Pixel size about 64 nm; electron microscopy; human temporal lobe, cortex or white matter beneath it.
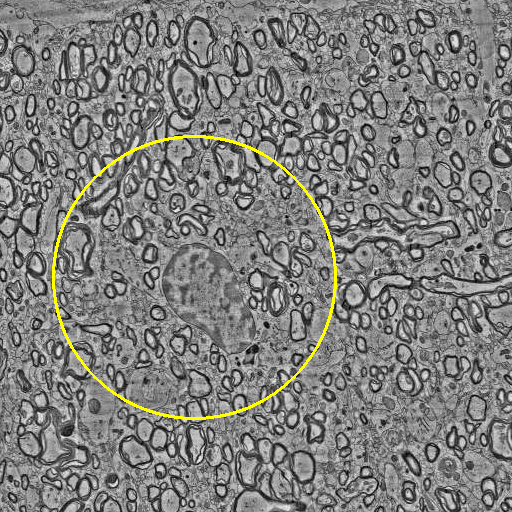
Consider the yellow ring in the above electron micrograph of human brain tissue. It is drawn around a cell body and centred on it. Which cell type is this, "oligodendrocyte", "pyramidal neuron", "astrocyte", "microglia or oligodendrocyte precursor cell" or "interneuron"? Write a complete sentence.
The cell in question is a microglial cell or oligodendrocyte precursor cell.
